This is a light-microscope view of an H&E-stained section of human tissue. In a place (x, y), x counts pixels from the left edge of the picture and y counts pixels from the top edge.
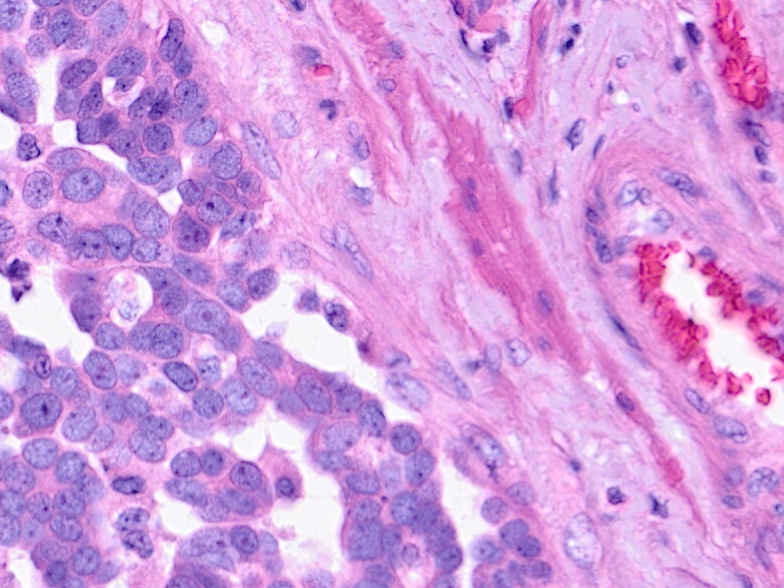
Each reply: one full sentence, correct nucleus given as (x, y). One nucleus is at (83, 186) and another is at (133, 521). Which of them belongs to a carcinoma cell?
Of these two nuclei, it is the one at (83, 186) that belongs to a carcinoma cell.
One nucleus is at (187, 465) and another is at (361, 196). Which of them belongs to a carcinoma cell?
The one at (187, 465) is the nucleus belonging to a carcinoma cell, not the other one.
